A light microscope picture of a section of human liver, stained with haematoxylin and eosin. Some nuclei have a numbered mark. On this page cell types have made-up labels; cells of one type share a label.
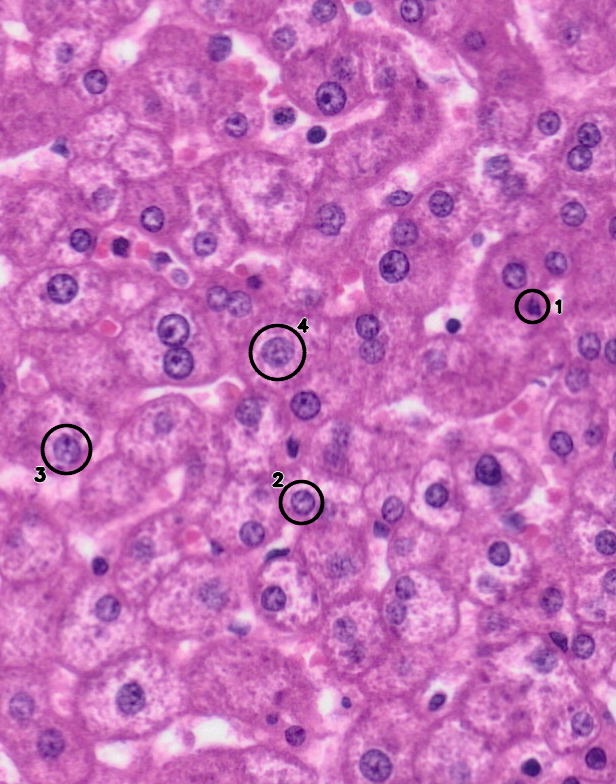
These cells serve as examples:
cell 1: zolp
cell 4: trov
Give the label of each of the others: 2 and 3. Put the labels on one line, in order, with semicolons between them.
trov; trov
